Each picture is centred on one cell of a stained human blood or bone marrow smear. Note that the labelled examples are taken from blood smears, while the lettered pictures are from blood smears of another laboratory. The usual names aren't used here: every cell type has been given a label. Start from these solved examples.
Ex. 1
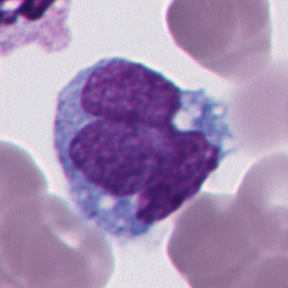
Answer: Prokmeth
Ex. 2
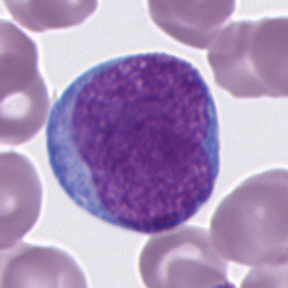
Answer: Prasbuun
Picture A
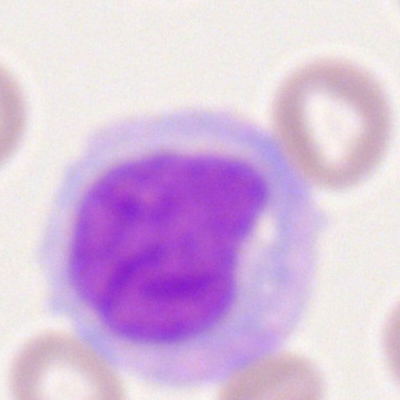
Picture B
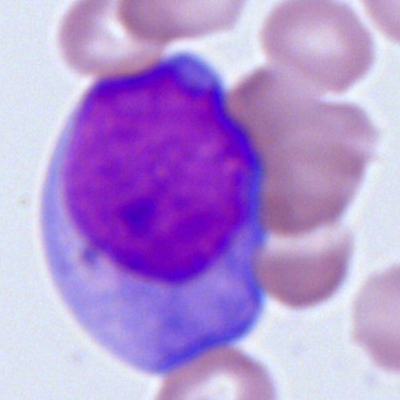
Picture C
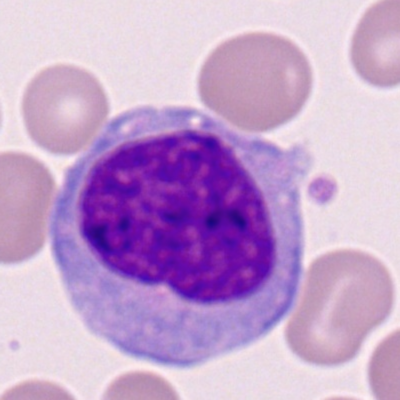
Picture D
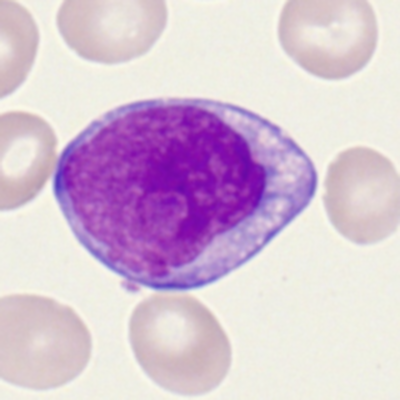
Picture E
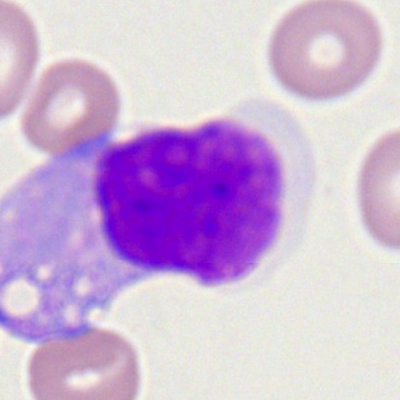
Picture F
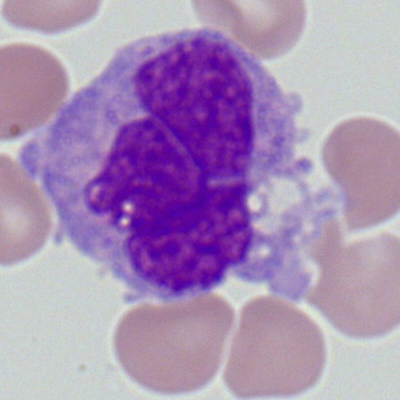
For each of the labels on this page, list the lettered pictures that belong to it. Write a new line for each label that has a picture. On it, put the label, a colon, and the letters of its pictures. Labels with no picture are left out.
Prokmeth: A, C, E, F
Prasbuun: B, D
